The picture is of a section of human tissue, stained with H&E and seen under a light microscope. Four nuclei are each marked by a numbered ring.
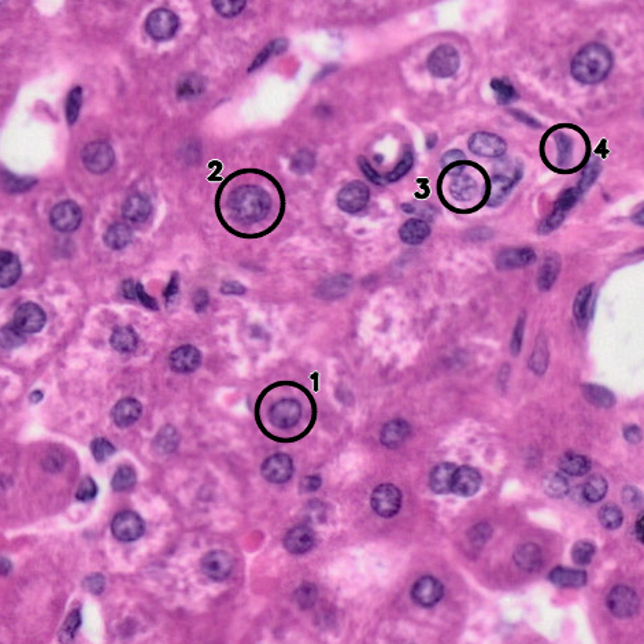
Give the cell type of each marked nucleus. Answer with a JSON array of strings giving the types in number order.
["hepatocyte", "hepatocyte", "cholangiocyte", "fibroblast or stellate cell"]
